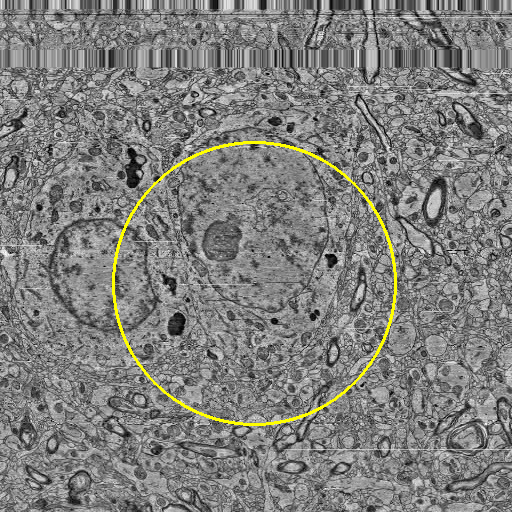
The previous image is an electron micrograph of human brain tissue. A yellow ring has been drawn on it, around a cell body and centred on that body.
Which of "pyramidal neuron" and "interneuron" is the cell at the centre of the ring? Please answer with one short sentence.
The cell body at the centre of the ring belongs to a pyramidal neuron.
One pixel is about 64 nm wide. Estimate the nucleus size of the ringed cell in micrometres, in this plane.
About 12 by 10 micrometres in this plane.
